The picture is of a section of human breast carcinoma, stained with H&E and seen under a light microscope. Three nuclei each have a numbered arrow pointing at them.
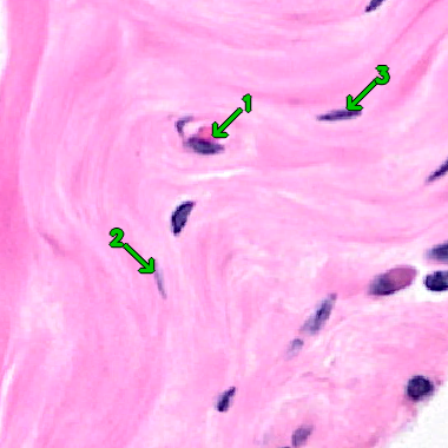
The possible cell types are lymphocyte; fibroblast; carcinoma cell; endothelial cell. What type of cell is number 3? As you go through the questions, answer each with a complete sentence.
The cell carrying label 3 is identified as a fibroblast.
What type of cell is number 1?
The cell that goes by number 1 is an endothelial cell.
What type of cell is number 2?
The cell indicated with the number 2 is classed as a fibroblast.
